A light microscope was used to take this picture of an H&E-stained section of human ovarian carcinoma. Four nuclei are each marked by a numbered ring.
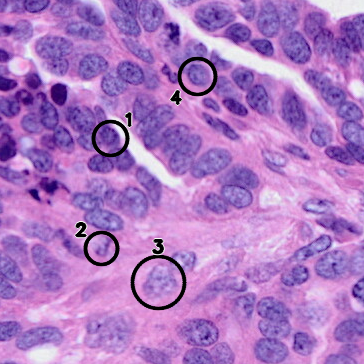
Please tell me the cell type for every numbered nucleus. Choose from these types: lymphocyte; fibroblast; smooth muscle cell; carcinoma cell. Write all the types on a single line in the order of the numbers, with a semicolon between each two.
carcinoma cell; fibroblast; fibroblast; carcinoma cell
